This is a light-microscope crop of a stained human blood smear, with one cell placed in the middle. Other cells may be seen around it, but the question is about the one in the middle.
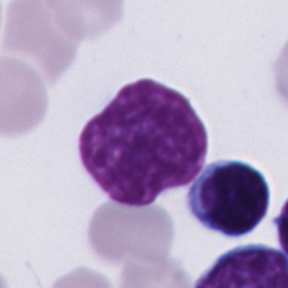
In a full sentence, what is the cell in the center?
To answer, the cell in the center of the crop is a blast.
